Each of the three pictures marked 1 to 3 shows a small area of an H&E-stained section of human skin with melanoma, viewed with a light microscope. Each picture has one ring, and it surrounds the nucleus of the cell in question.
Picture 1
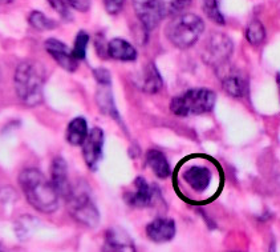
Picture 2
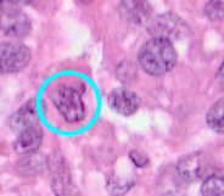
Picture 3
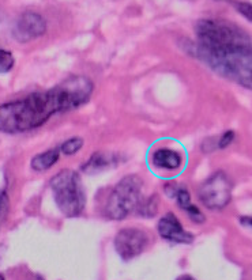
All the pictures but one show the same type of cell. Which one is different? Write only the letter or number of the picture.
2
